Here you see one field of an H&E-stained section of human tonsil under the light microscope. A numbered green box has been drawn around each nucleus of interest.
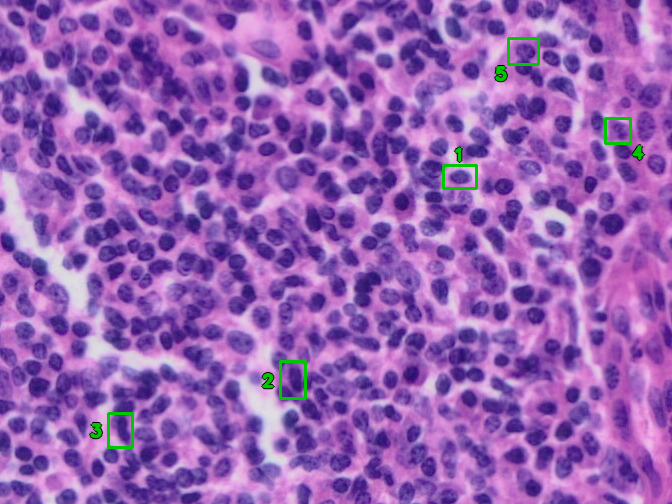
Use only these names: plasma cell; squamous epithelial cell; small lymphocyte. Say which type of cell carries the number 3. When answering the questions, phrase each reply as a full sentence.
Corresponding to a small lymphocyte is the cell labelled 3.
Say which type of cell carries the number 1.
The one labeled 1 is a small lymphocyte, to put it simply.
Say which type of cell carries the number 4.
The cell that bears the number 4 is a plasma cell.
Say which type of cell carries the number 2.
The one labeled 2 is a small lymphocyte, to put it simply.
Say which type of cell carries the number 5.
The one numbered 5 among the marked cells is a plasma cell.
